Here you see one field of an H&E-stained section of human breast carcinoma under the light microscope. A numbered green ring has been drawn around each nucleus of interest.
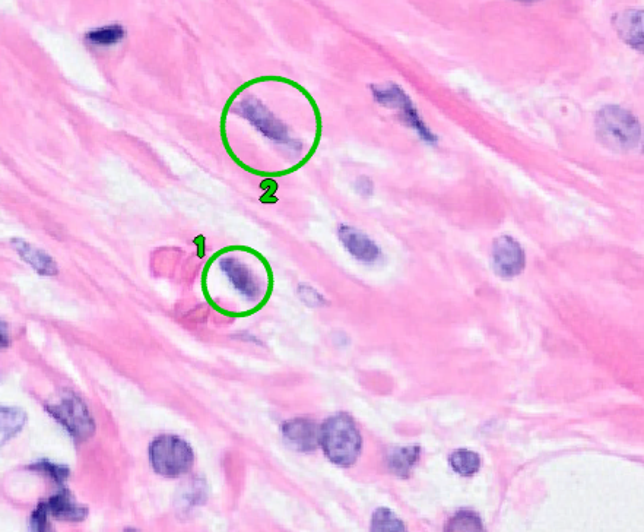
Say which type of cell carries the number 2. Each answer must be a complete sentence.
What the number 2 marks in this field is a fibroblast.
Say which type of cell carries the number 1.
The correct label for cell 1 is an endothelial cell.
